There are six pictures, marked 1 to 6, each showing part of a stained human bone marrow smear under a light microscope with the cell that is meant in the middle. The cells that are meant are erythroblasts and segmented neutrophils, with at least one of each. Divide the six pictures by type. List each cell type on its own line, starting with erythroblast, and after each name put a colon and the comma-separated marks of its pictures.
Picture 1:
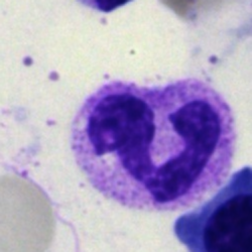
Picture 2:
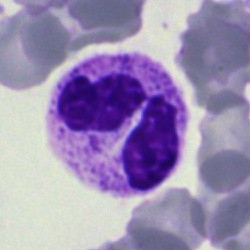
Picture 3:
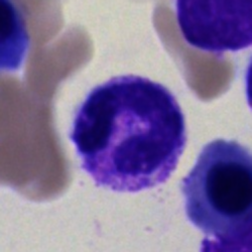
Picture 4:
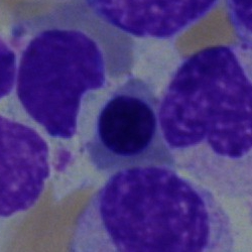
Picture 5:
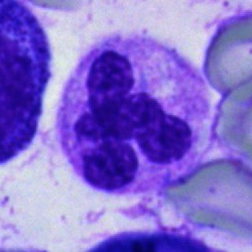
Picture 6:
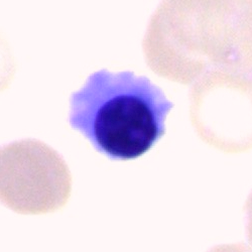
erythroblast: 4, 6
segmented neutrophil: 1, 2, 3, 5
